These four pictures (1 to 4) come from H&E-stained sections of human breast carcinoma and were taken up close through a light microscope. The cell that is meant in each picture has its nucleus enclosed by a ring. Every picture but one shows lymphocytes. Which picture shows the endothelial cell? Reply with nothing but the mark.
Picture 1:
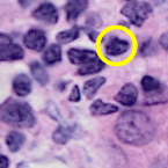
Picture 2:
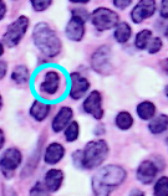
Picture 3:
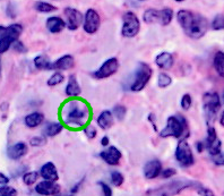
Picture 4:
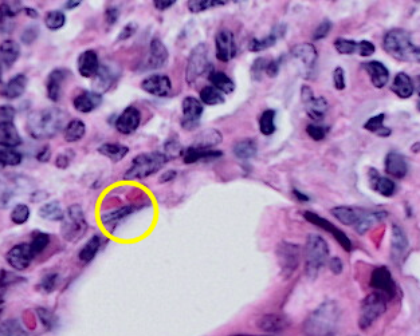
4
